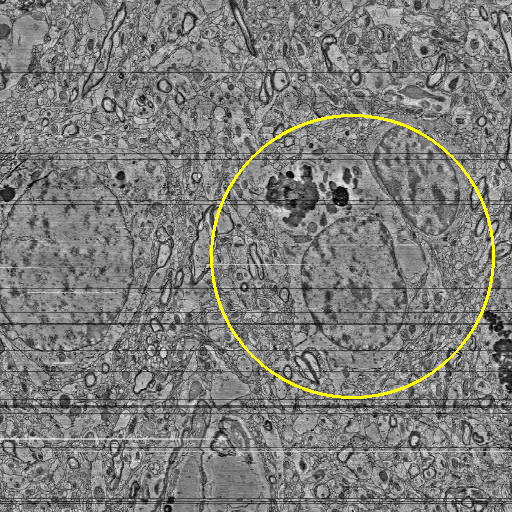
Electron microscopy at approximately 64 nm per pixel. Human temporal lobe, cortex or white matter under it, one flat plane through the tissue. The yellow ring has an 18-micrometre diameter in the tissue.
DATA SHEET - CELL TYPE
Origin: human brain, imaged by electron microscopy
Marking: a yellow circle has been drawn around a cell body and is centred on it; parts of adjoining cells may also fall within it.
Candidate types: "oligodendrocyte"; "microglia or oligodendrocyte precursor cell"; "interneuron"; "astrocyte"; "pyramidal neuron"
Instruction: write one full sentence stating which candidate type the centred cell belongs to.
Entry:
The cell body at the centre of the yellow ring in this micrograph belongs to an astrocyte.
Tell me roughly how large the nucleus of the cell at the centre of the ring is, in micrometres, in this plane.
In this plane, approximately 9 by 6 micrometers.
